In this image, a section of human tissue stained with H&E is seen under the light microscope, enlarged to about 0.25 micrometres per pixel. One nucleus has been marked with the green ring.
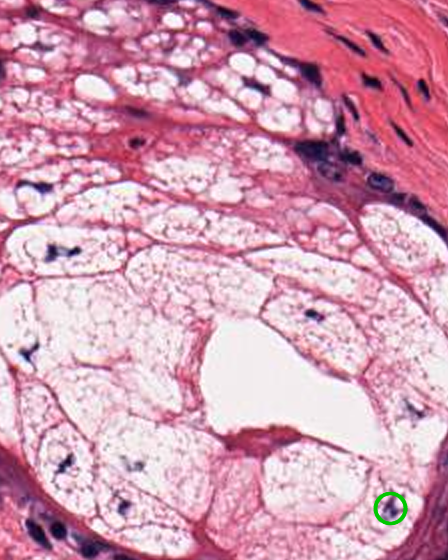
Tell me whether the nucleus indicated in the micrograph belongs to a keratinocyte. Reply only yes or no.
no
